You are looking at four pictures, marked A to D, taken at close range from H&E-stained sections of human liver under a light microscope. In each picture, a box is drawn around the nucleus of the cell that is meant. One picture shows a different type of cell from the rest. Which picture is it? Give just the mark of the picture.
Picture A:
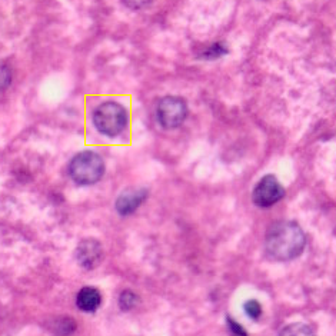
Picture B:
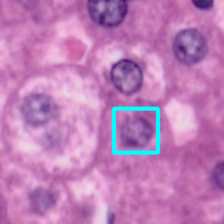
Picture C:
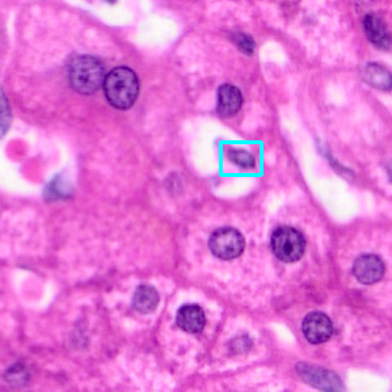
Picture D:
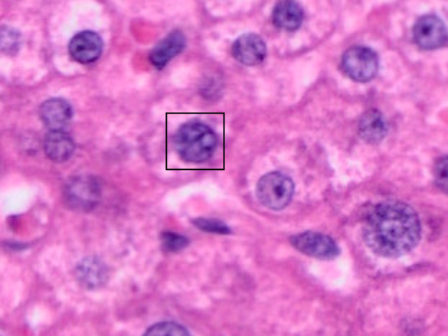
C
